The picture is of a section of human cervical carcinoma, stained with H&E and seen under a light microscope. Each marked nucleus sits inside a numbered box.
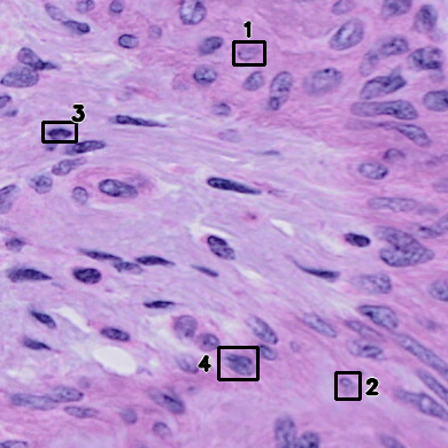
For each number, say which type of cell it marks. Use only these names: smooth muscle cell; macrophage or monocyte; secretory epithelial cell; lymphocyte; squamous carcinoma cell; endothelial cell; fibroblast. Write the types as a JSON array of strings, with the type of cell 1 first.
["smooth muscle cell", "smooth muscle cell", "fibroblast", "smooth muscle cell"]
